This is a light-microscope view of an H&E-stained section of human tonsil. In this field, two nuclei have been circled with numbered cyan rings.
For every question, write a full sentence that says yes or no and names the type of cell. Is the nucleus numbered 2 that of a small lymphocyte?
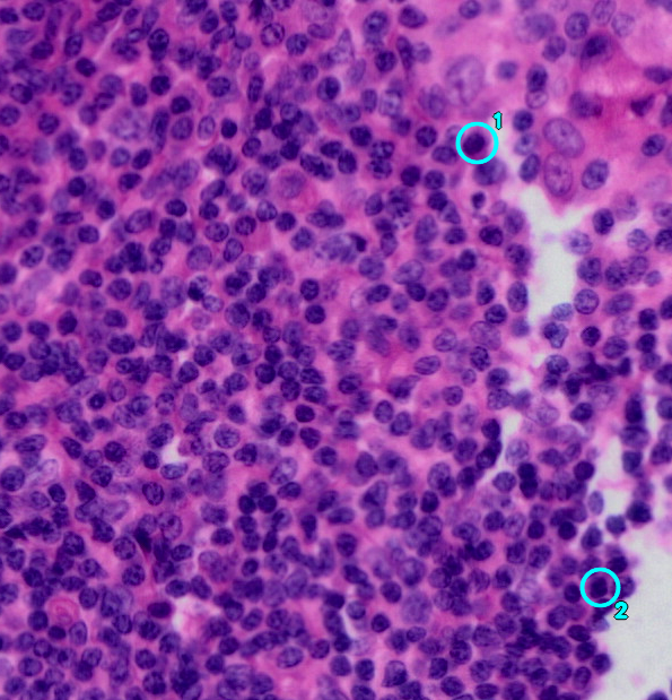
Yes, the cell with the mark numbered 2 is a small lymphocyte.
